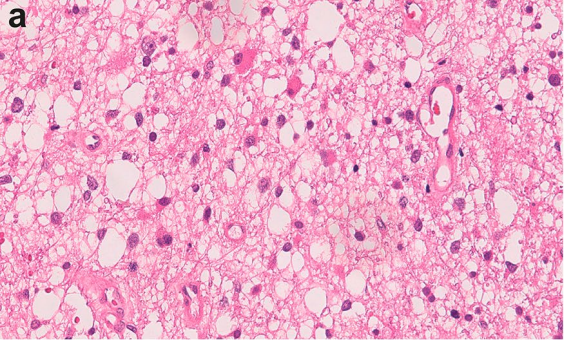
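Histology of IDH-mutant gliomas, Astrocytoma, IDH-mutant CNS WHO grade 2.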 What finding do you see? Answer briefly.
low cellularity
